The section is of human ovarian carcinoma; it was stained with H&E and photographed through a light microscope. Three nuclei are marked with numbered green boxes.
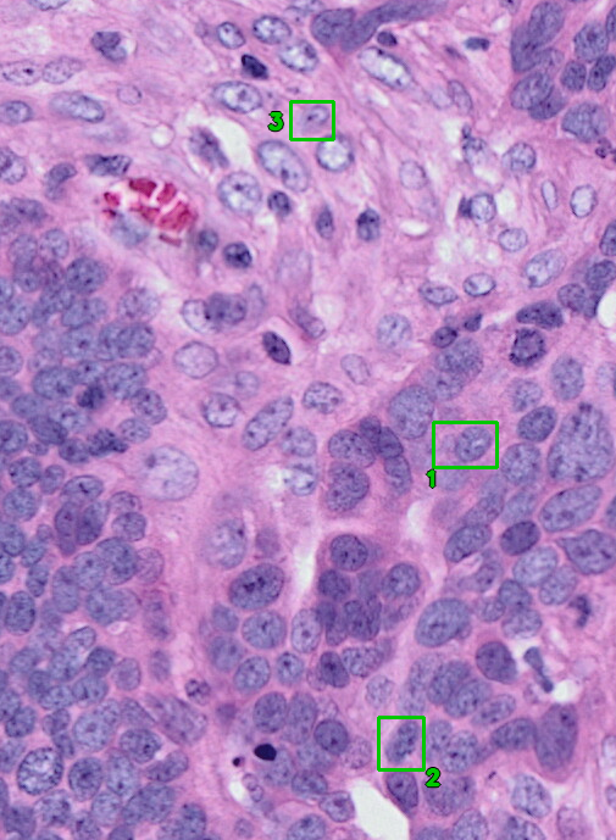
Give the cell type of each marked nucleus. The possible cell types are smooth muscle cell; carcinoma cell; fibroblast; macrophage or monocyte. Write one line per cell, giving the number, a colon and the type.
1: carcinoma cell
2: carcinoma cell
3: fibroblast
